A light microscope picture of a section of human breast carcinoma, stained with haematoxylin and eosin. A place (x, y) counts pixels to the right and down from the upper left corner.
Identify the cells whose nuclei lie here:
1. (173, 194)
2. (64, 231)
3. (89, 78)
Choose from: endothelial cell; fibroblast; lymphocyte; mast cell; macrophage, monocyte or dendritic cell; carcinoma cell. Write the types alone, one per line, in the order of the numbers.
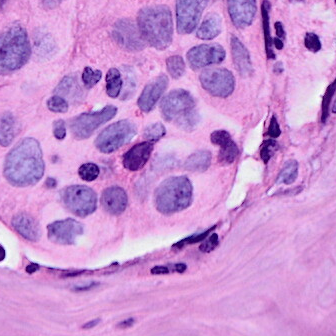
carcinoma cell
carcinoma cell
lymphocyte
